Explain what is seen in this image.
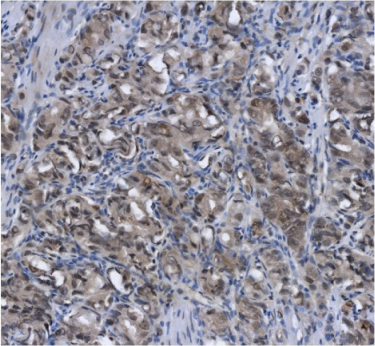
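This is tumor tissue made of crowded, small glands and nests of epithelial cells separated by thin bands of stroma. The epithelial cells are strongly stained brown in their cytoplasm, and many nuclei are brown as well, with only some showing through blue. The cells are roughly polygonal, with rounded nuclei, and they surround small clear lumens scattered through the nests. Between the nests run narrow strands of stroma whose elongated, spindle-shaped nuclei are blue and largely unstained, so the brown epithelium stands out sharply against the blue stromal framework.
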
